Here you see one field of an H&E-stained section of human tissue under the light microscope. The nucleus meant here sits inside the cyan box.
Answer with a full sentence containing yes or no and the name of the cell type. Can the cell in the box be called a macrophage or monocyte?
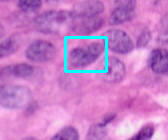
Yes, the cell in the box qualifies as a macrophage or monocyte in this section.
